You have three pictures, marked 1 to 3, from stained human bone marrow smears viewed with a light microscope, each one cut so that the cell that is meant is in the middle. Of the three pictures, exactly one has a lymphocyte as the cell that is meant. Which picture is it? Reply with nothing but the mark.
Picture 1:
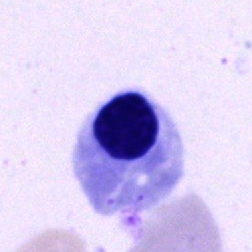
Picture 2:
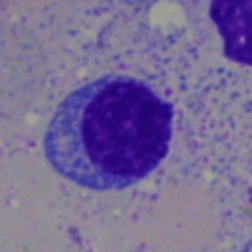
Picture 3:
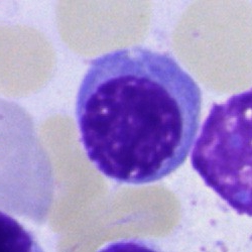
2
